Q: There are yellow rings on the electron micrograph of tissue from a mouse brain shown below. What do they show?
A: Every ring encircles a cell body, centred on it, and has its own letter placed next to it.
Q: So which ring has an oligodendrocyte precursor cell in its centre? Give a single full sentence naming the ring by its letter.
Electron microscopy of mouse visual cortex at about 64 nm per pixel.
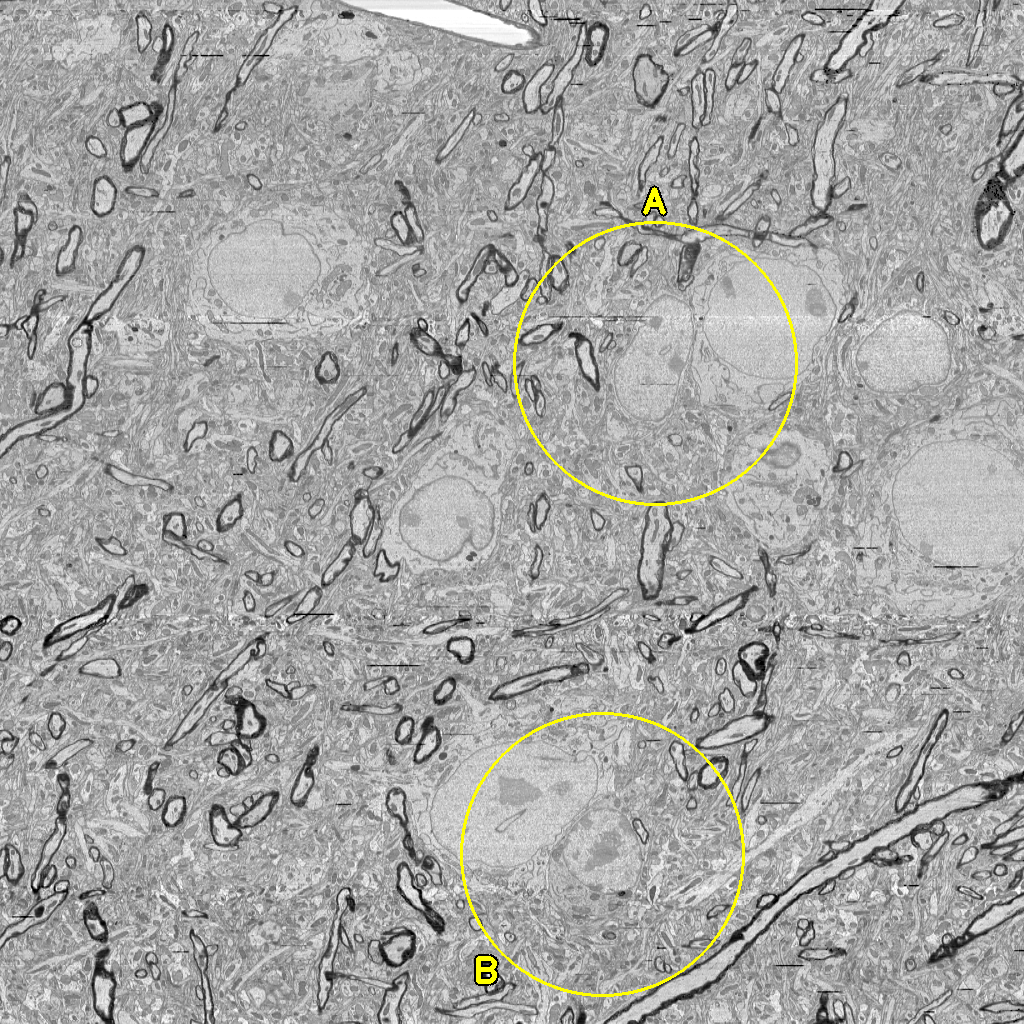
Ring A has the cell asked for at its centre in the picture.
